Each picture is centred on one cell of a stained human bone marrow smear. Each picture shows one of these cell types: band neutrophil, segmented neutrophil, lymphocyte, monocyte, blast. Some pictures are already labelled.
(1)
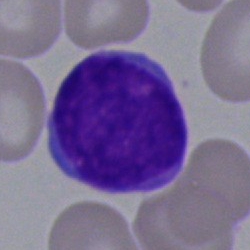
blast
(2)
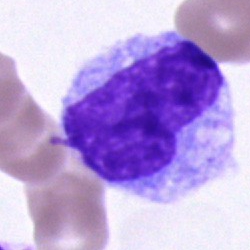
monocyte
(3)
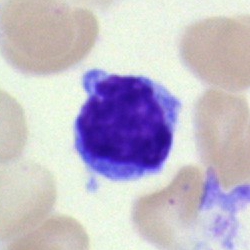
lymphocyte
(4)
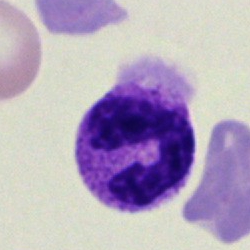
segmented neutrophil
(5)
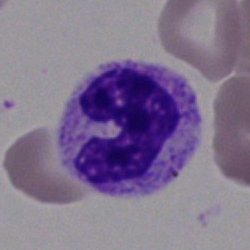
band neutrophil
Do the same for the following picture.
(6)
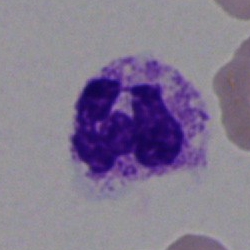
segmented neutrophil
